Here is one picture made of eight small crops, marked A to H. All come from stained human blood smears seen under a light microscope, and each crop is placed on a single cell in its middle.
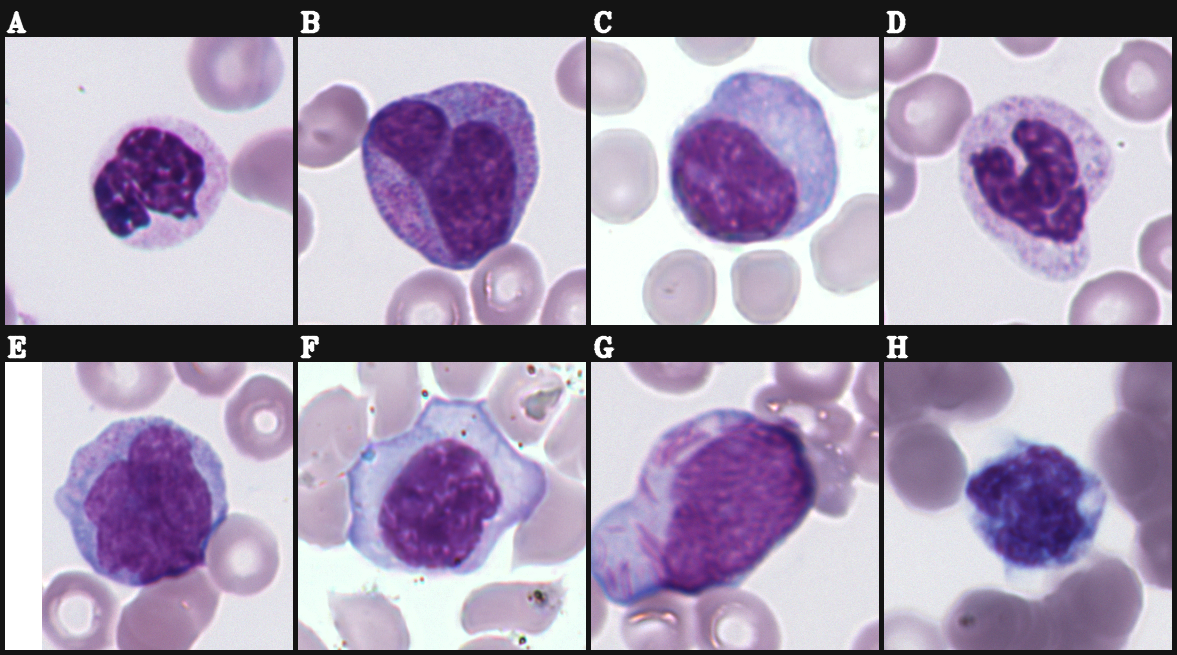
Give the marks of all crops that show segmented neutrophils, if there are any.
A, D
